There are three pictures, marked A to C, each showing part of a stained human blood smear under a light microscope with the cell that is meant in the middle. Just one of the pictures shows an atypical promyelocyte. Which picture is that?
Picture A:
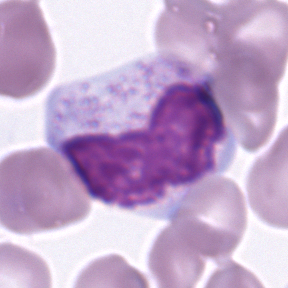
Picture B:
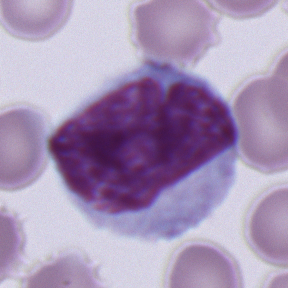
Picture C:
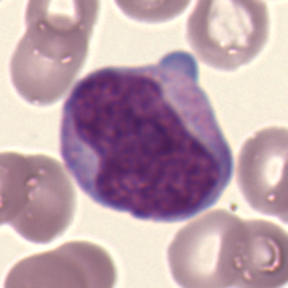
C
